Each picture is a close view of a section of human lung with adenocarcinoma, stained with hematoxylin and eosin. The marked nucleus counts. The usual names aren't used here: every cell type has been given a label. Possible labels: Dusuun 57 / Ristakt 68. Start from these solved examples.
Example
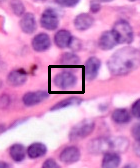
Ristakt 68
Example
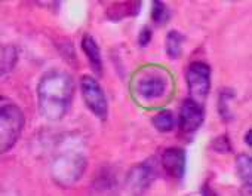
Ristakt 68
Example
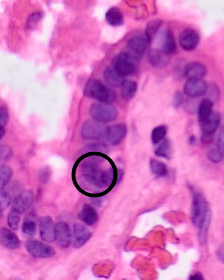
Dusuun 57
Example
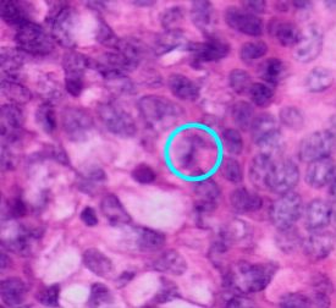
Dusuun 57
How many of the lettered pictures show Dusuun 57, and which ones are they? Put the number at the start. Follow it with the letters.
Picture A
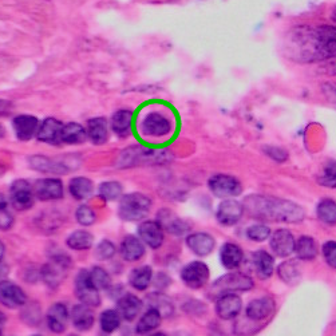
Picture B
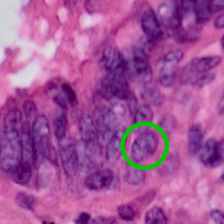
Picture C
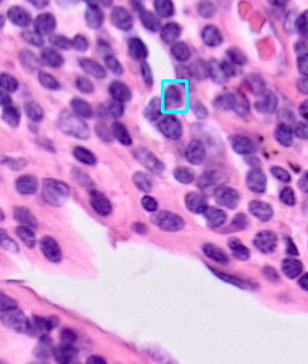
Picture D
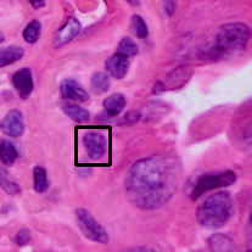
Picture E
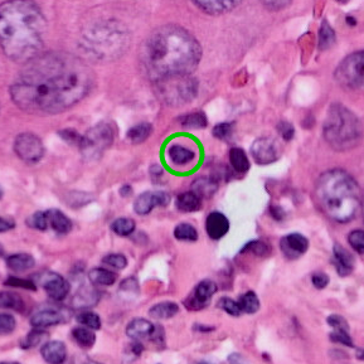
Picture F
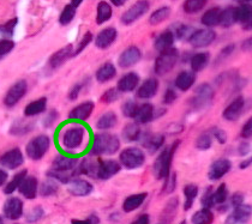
Count: 1 (B)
